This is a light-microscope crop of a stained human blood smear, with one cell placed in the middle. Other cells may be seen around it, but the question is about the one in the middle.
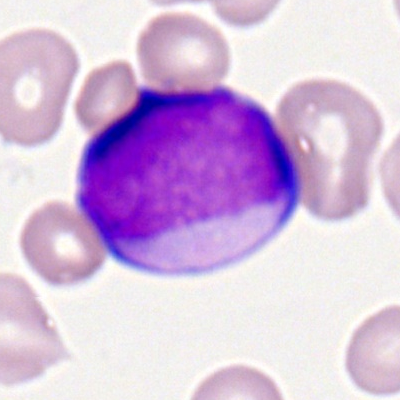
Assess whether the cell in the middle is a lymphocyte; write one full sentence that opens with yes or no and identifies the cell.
No, the middle cell is not a lymphocyte, it being a myeloblast.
